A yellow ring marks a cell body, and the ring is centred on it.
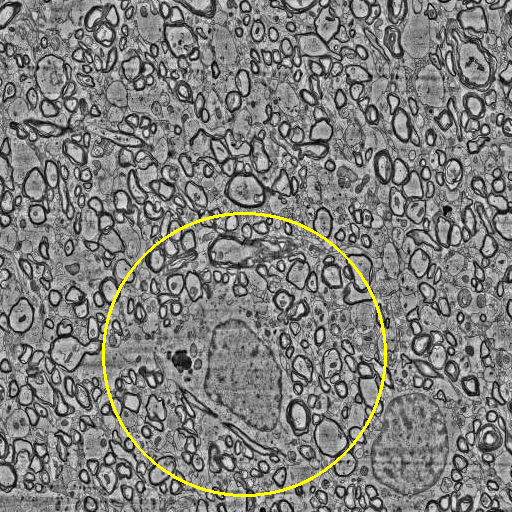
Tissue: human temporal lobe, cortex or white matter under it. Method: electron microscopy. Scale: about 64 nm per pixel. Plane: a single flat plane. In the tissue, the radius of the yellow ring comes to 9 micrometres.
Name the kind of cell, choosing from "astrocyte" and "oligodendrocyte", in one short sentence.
The marked cell body belongs to an astrocyte.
